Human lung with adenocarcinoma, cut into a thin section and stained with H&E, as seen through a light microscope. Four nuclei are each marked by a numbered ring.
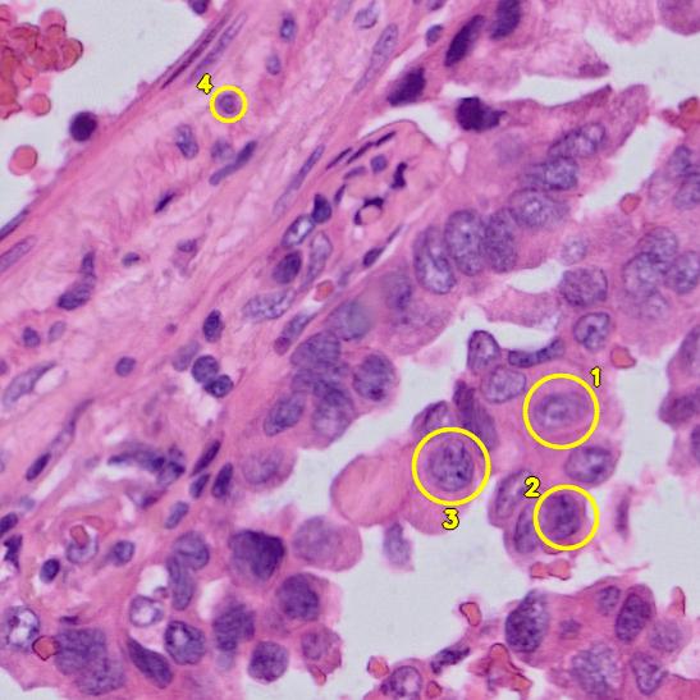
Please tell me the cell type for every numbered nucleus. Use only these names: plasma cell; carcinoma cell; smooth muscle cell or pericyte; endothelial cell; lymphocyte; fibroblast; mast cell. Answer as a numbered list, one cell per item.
1. carcinoma cell
2. carcinoma cell
3. carcinoma cell
4. smooth muscle cell or pericyte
